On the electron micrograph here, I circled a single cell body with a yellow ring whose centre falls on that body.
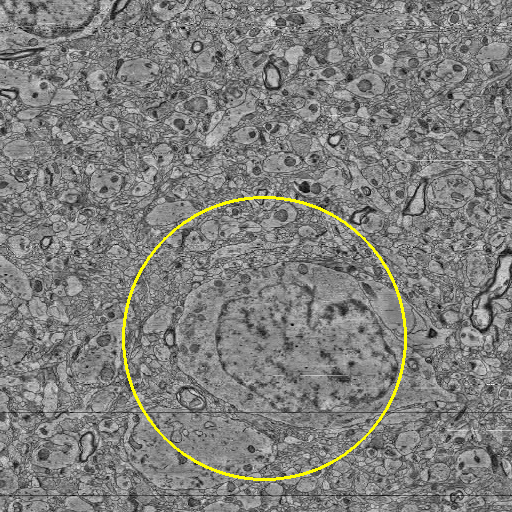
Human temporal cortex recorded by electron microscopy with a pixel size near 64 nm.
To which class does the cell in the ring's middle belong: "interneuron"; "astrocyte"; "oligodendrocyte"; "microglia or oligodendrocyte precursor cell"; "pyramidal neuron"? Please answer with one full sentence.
In this picture, the cell body circled at the ring's centre belongs to an interneuron.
